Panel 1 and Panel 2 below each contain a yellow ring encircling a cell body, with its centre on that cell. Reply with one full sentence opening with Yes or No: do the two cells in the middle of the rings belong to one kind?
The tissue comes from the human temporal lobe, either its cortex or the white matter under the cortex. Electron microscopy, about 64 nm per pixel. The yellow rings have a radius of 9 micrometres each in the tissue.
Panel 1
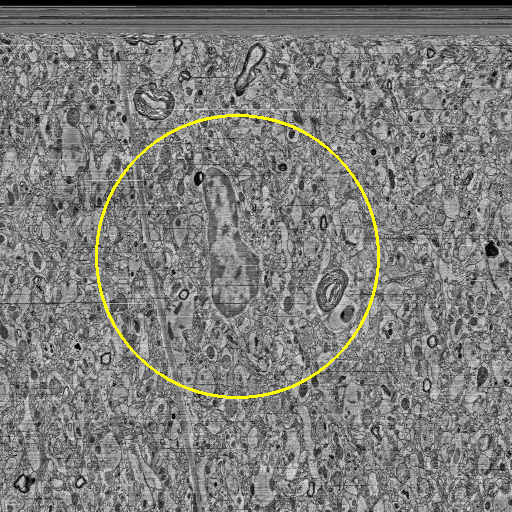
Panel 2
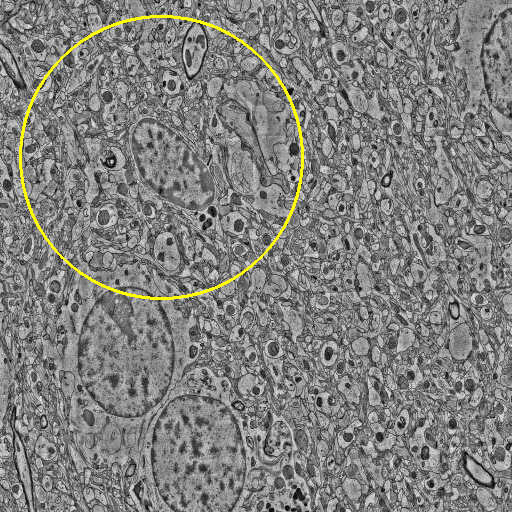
Yes, the cells at the middle of the Panel 1 ring and the Panel 2 ring are of one kind.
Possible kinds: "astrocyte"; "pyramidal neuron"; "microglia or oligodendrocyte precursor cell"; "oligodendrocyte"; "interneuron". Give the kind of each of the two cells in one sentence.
Both cells are the same kind, each one being a microglial cell or oligodendrocyte precursor cell.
